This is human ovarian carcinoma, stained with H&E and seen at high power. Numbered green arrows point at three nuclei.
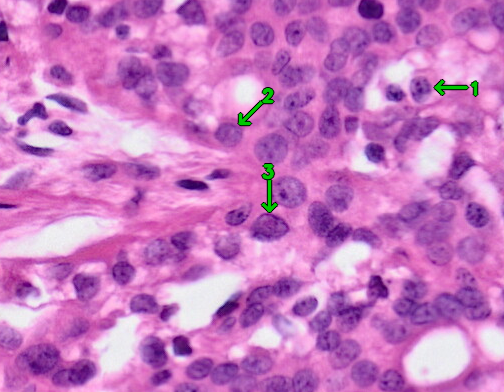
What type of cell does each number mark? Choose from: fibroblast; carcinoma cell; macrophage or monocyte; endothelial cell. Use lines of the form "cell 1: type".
cell 1: macrophage or monocyte
cell 2: carcinoma cell
cell 3: carcinoma cell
